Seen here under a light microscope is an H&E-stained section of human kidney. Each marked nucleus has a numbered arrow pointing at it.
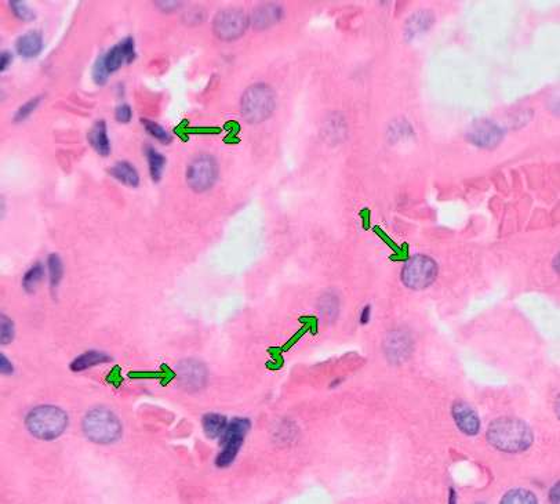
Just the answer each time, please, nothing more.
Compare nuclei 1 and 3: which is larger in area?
1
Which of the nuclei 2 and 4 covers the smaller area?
2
